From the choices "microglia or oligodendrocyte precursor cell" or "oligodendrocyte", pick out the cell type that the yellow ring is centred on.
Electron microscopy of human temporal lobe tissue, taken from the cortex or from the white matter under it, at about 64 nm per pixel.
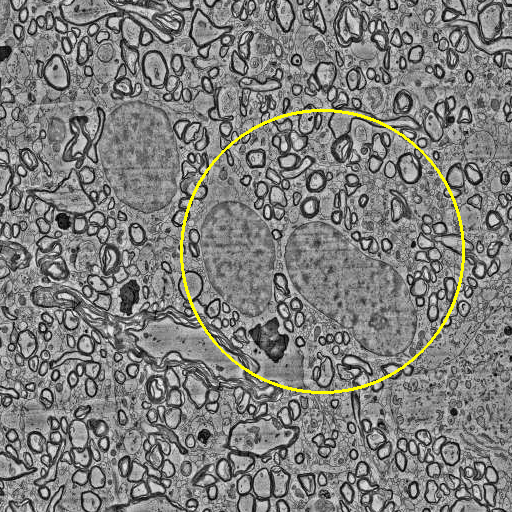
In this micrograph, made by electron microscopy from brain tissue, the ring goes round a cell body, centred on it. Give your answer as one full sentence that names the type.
The yellow ring is centred on a microglial cell or oligodendrocyte precursor cell, whose cell body it encircles in the picture.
